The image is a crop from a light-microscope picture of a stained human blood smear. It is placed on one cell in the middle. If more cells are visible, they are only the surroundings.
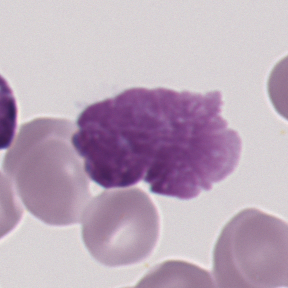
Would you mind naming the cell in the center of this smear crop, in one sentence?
For this crop, the central cell is a smudge cell.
